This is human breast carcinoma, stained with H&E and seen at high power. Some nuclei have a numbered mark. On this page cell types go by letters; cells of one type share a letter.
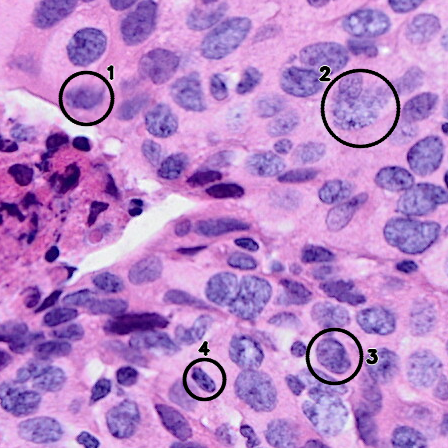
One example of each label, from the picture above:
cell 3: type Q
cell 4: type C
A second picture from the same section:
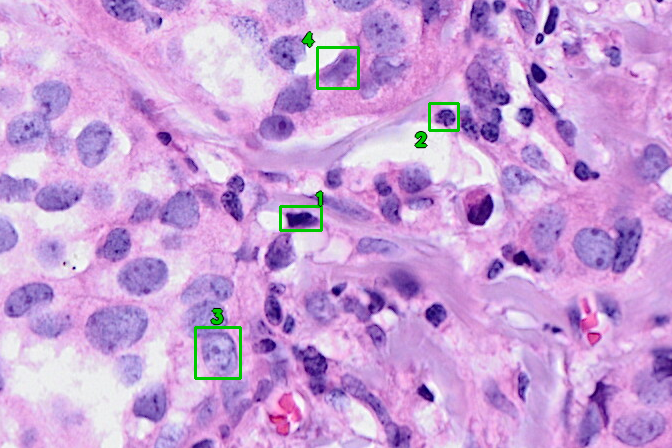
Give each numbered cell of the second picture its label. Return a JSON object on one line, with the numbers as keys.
{"1": "type C", "2": "type C", "3": "type Q", "4": "type Q"}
